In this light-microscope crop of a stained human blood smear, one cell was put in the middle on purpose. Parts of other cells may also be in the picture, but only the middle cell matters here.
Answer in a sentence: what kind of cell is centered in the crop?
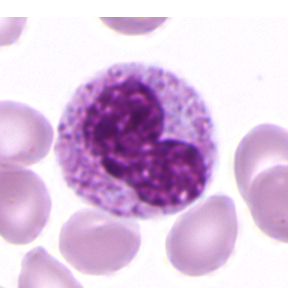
The identification for the central cell is a band neutrophil.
